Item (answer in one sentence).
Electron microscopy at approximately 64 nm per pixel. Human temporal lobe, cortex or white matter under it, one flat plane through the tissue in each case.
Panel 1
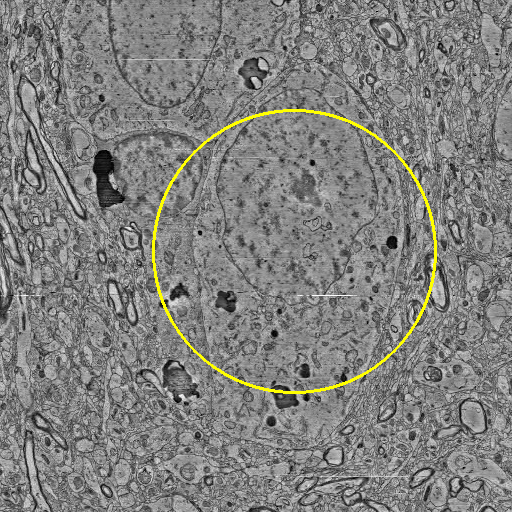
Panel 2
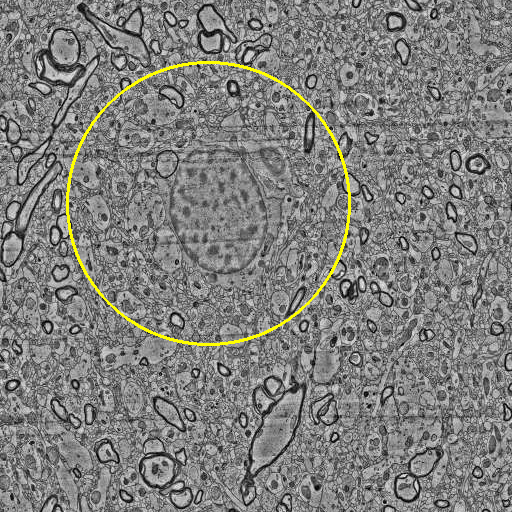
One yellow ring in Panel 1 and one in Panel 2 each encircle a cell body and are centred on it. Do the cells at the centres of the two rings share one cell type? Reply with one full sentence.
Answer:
No, Panel 1 and Panel 2 show cells of two types at the centres of their rings.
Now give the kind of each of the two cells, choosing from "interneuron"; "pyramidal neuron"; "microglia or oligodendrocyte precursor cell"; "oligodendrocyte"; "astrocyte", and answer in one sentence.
The cell in the first picture is a pyramidal neuron, and the cell in the second is an oligodendrocyte.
